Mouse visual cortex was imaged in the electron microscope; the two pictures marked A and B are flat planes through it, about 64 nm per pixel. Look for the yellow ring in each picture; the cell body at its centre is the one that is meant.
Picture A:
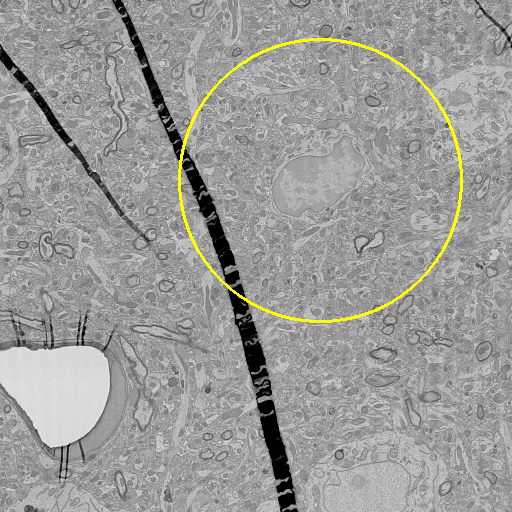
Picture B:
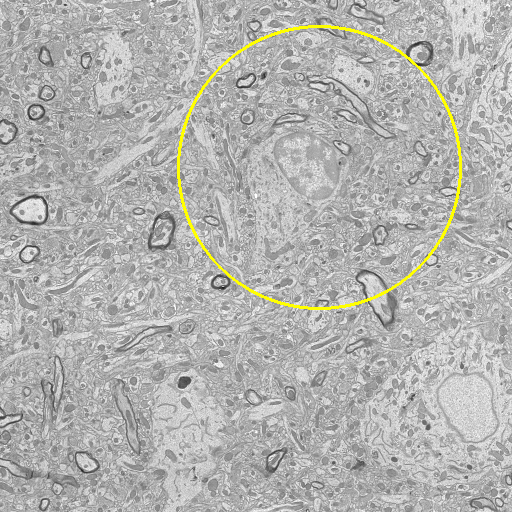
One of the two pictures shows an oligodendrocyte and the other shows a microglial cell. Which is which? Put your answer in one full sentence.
Picture A is of a microglial cell, and picture B is of an oligodendrocyte.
